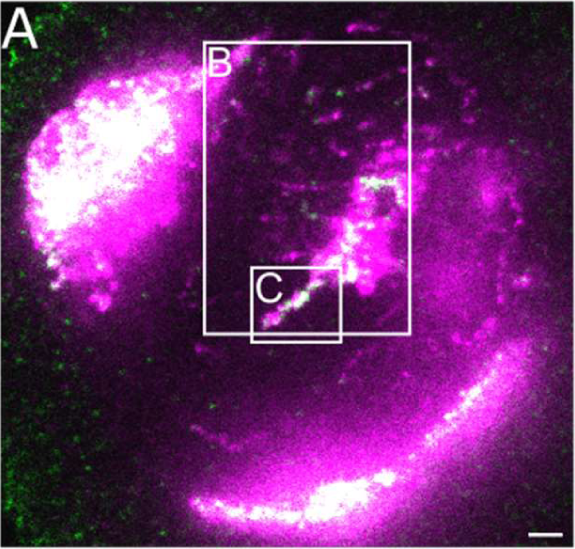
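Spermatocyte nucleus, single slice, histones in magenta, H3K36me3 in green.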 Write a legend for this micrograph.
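Large bright magenta chromatin masses lie at the upper left and along the lower edge, where the bright mass forms a curved band. An irregular elongated bright mass with a thin extension crosses the centre. Fine scattered magenta fragments fill the darker nucleoplasm, and green appears in places along the bright masses.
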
